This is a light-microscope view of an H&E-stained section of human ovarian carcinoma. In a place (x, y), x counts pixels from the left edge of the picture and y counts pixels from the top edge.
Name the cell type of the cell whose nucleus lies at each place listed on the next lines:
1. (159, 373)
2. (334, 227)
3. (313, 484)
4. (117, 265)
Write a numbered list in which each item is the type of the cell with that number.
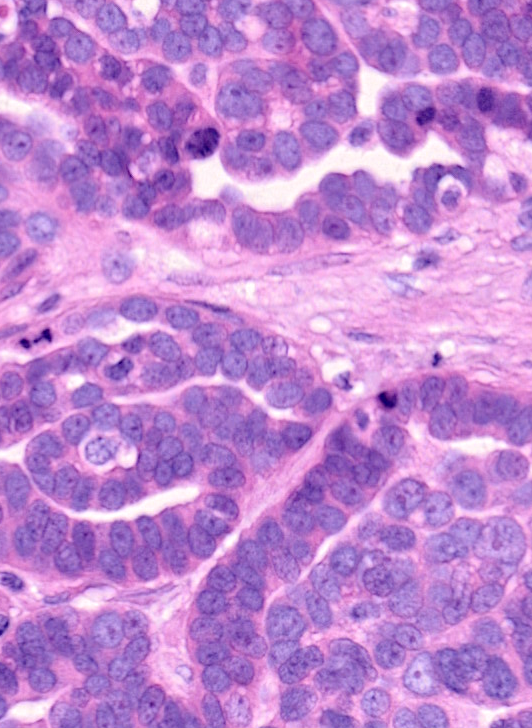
1. carcinoma cell
2. carcinoma cell
3. carcinoma cell
4. fibroblast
